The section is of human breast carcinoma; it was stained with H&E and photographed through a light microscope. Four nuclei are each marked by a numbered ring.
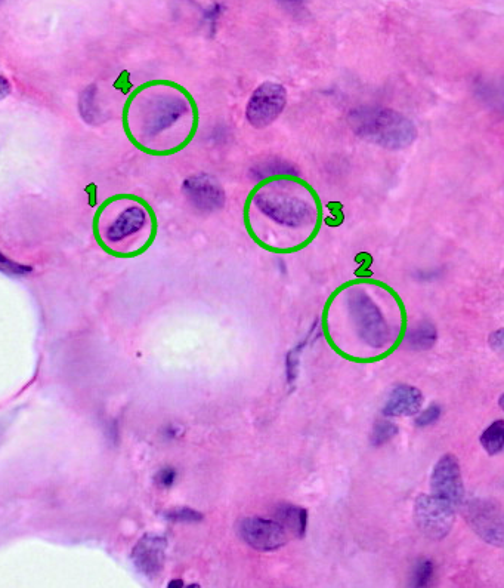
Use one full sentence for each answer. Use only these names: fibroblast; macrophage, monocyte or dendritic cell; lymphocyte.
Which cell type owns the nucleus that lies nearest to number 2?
It is a fibroblast whose nucleus is nearest to number 2.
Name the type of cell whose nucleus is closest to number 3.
The cell nearest to number 3 is a macrophage, monocyte or dendritic cell.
